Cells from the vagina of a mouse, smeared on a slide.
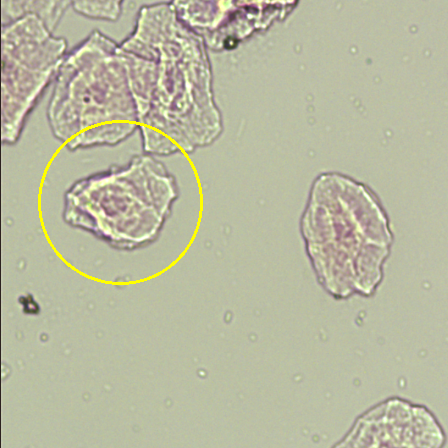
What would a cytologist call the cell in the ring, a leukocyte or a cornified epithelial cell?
A cytologist would call it a cornified epithelial cell.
